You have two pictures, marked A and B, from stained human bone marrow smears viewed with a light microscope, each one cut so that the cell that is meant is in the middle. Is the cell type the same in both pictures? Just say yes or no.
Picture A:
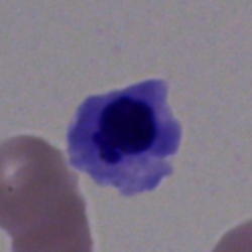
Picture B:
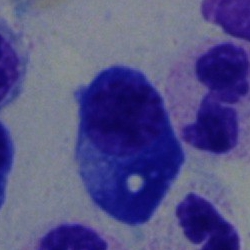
no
